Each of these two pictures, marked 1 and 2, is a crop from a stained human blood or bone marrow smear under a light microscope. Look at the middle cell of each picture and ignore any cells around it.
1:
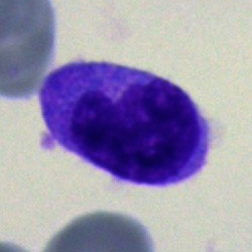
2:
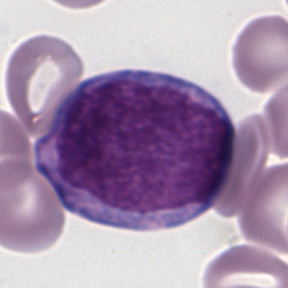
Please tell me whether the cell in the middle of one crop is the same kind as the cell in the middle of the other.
no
